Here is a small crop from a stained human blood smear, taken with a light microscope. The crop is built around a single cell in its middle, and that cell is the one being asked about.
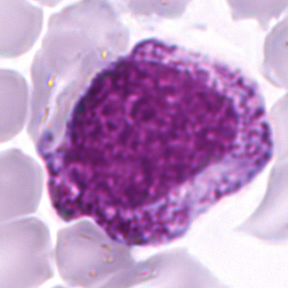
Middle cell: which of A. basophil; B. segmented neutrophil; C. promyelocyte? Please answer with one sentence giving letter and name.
The cell placed in the middle is a promyelocyte; option C is correct.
